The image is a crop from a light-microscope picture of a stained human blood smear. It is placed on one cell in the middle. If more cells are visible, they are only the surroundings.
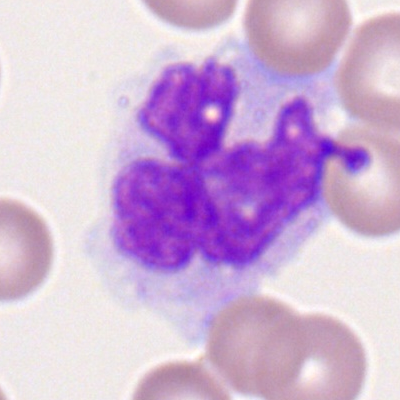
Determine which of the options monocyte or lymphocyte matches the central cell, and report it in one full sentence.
The centrally positioned cell in the crop represents a monocyte.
